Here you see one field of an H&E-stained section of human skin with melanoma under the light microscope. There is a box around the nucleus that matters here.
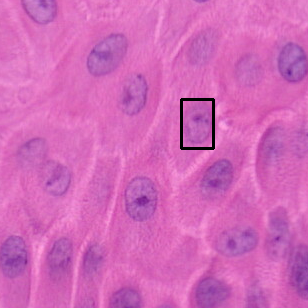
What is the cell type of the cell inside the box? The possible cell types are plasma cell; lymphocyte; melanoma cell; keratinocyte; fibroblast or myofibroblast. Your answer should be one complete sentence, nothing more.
Recorded by type, the cell inside the box is a keratinocyte.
